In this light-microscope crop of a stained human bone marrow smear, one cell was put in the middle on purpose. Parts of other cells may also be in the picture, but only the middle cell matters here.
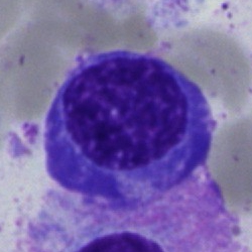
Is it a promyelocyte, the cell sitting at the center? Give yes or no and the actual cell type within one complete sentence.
No, what the centre of the crop shows is a plasma cell, not a promyelocyte.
